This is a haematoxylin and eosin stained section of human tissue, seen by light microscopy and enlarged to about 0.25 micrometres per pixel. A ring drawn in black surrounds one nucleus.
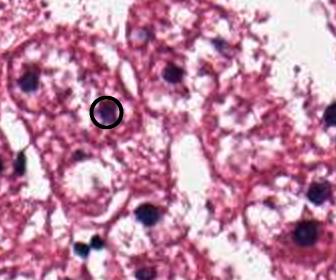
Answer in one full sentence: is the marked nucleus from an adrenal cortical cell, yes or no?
Yes, the marked nucleus lies within an adrenal cortical cell.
